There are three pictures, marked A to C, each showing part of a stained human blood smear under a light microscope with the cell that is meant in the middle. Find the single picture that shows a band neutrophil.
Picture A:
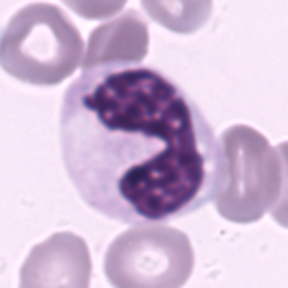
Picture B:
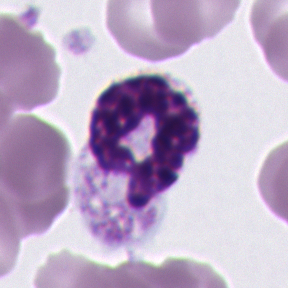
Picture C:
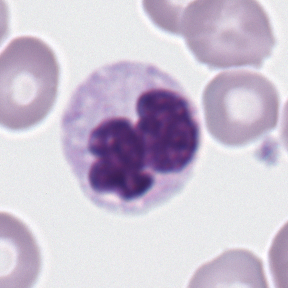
A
